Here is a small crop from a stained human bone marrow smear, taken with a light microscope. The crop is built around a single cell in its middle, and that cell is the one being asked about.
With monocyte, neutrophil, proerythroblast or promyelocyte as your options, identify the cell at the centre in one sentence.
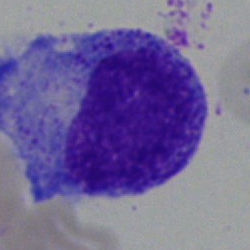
To answer, the cell in the center of the crop is a promyelocyte.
